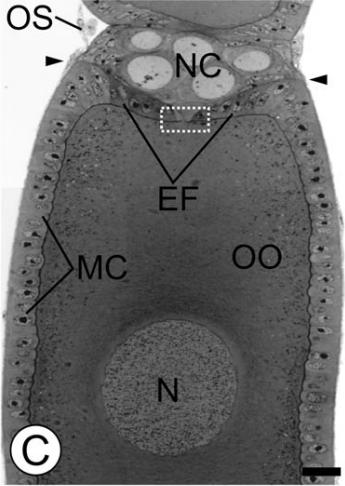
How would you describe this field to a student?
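A large oocyte with finely granular cytoplasm and a round, centrally placed nucleus fills most of the chamber, and its sides are lined by a single layer of cuboidal follicular cells. At the front, a cluster of nurse cells with large pale nuclei sits above the oocyte, and follicular cells push inward between the nurse cells and the oocyte, forming a fold that begins to wrap the oocyte's anterior pole.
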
